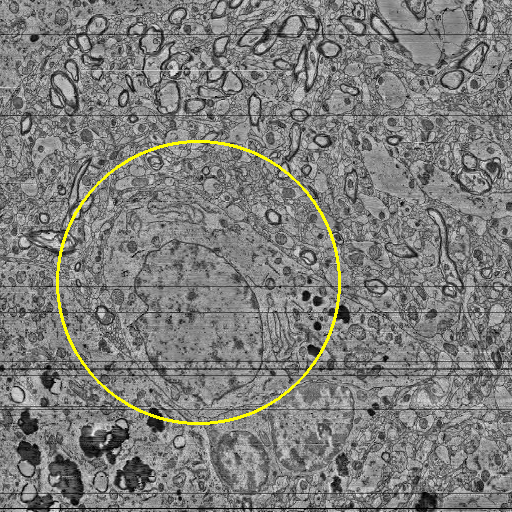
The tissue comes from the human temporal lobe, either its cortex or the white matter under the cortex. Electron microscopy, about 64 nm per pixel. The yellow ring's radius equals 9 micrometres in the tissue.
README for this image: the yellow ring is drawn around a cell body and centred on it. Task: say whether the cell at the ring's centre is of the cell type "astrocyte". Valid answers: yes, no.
no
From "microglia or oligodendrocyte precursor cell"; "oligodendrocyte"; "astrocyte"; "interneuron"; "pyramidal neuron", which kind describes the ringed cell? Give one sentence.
It is a pyramidal neuron at the centre of the ring.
